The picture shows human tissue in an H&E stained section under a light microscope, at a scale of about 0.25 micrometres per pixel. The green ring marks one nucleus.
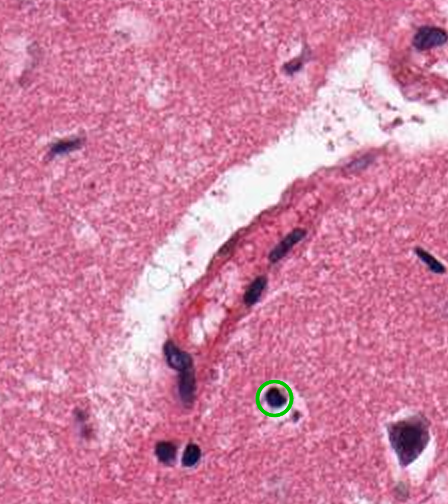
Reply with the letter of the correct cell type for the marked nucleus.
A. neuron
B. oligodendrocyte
B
